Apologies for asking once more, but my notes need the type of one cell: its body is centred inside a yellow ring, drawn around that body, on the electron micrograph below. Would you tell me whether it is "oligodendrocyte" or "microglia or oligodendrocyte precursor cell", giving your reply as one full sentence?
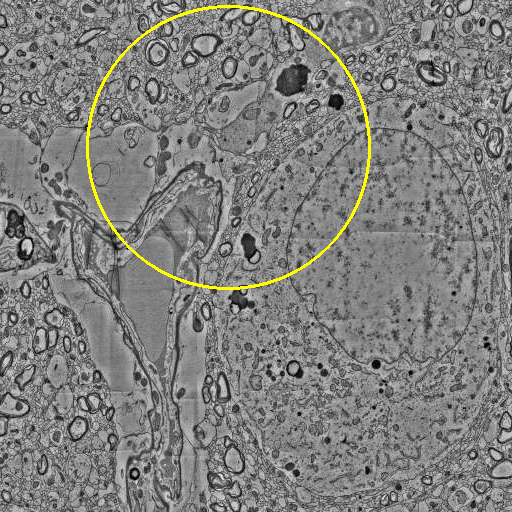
The cell that the yellow ring is centred on is an oligodendrocyte in this micrograph.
